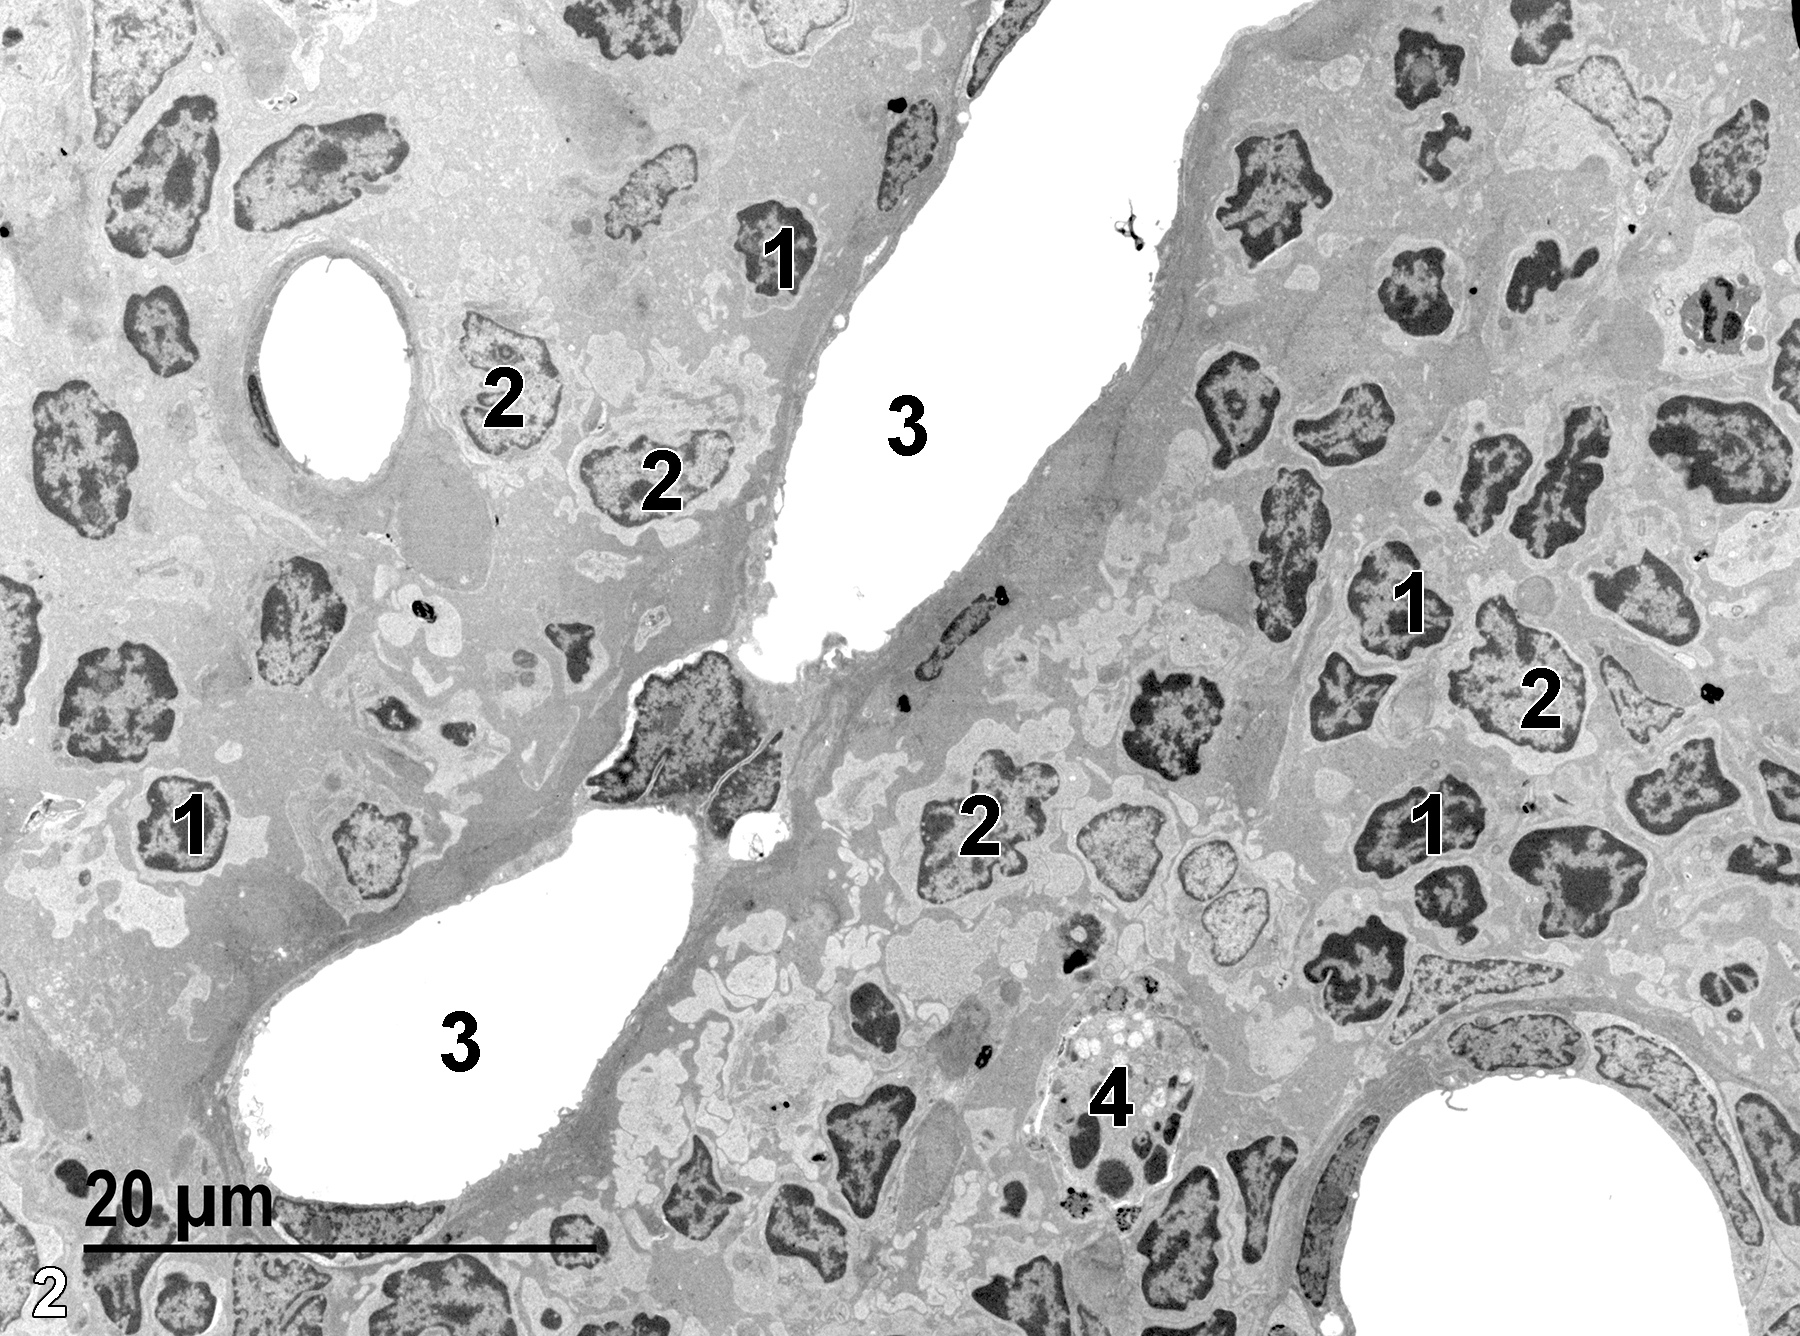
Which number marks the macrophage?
4.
